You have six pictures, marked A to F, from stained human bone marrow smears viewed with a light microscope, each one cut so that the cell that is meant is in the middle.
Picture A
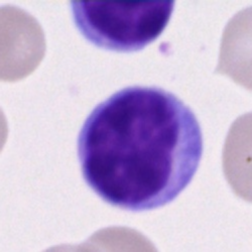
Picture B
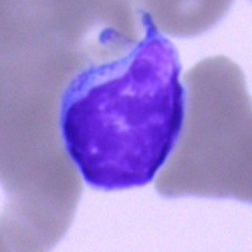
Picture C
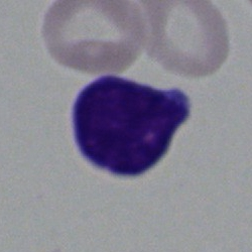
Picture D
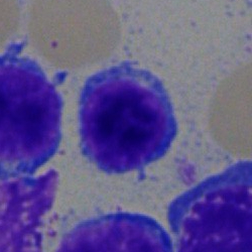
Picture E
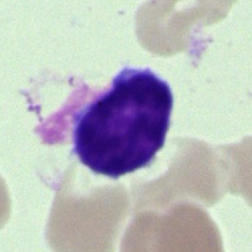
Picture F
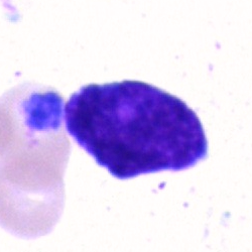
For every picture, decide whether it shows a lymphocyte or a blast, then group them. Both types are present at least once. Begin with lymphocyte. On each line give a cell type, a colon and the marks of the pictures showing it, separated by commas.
lymphocyte: A, B, D, E
blast: C, F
